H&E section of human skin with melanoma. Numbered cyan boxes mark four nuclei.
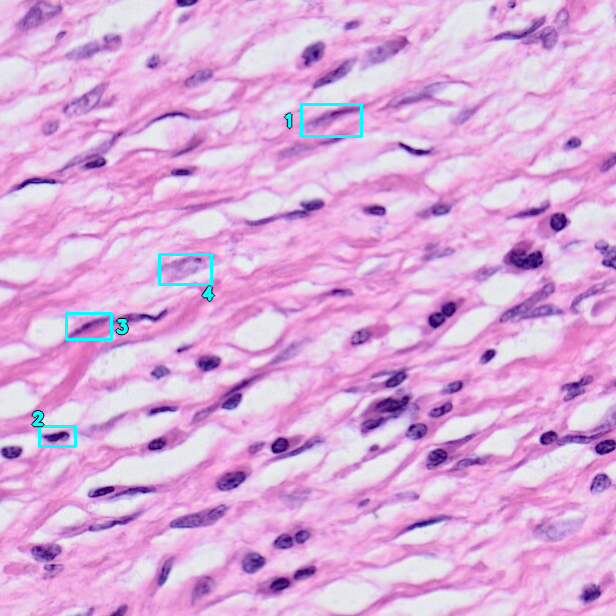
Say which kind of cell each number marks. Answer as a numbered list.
1. fibroblast or myofibroblast
2. lymphocyte
3. fibroblast or myofibroblast
4. fibroblast or myofibroblast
